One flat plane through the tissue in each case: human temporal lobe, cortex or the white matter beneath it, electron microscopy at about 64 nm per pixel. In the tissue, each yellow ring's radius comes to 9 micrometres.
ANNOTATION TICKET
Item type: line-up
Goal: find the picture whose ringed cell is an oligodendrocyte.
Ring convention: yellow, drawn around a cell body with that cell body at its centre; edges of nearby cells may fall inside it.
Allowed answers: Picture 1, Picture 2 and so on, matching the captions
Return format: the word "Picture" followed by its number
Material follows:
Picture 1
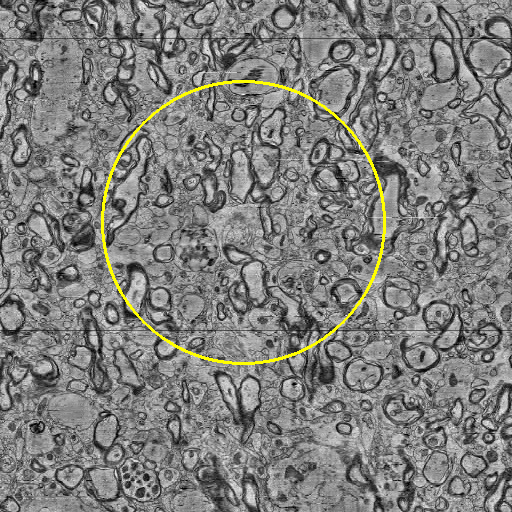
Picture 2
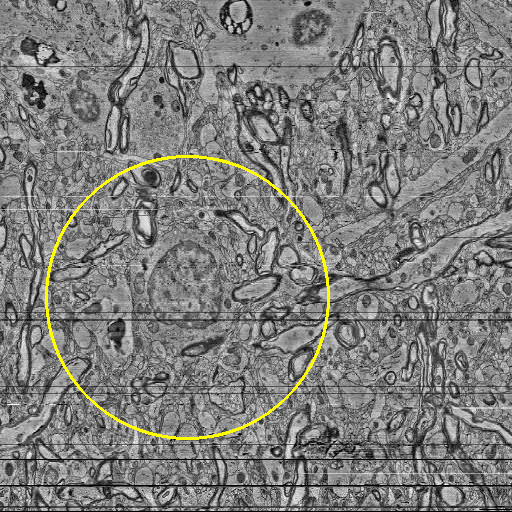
Picture 2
